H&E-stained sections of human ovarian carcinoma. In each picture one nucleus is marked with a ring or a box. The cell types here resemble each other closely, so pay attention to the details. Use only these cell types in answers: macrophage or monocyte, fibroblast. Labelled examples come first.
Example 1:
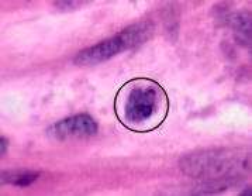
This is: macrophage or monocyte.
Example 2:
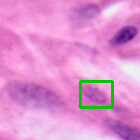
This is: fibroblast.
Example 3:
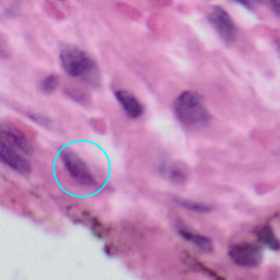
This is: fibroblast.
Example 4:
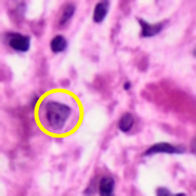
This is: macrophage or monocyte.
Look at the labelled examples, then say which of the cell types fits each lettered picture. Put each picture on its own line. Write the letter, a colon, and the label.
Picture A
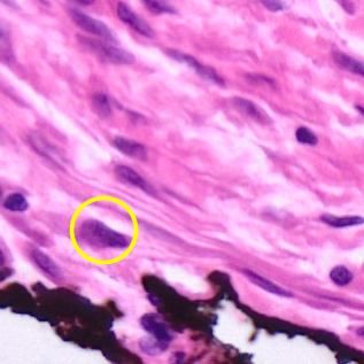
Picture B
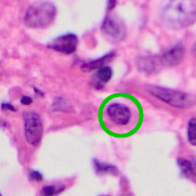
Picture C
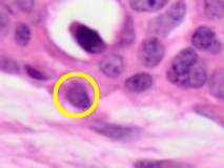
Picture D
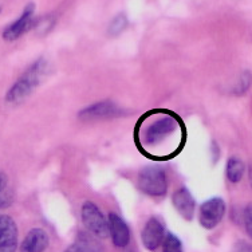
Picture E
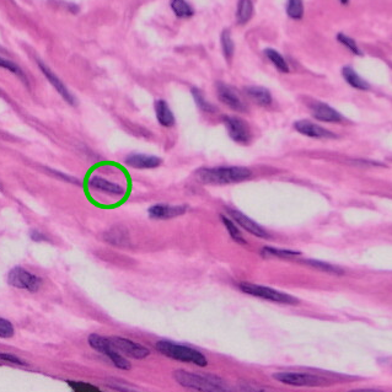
A: fibroblast.
B: macrophage or monocyte.
C: macrophage or monocyte.
D: macrophage or monocyte.
E: fibroblast.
